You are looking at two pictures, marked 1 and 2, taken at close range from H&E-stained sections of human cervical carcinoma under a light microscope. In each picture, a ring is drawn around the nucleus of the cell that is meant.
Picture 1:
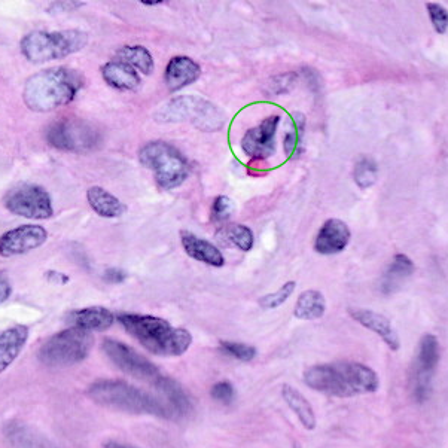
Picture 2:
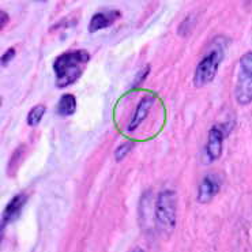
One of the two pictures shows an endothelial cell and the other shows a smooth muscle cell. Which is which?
1: endothelial cell
2: smooth muscle cell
